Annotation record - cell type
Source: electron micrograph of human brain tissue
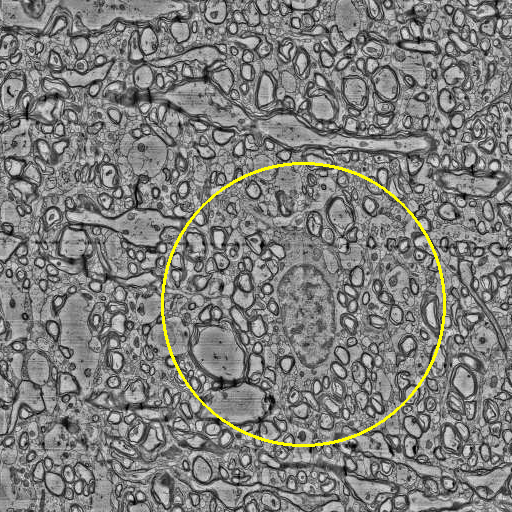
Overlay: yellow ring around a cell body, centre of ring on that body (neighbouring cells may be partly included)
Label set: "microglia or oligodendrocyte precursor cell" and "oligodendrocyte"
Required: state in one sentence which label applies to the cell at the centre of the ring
This cell should be labelled as an oligodendrocyte.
